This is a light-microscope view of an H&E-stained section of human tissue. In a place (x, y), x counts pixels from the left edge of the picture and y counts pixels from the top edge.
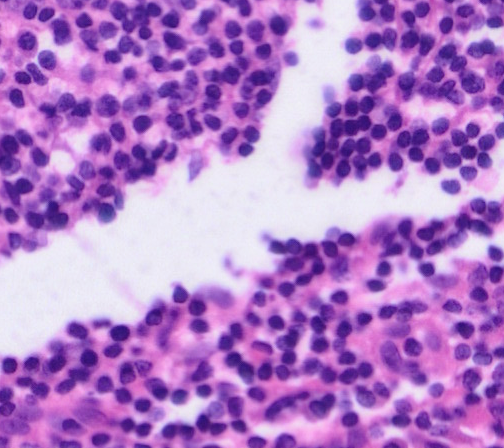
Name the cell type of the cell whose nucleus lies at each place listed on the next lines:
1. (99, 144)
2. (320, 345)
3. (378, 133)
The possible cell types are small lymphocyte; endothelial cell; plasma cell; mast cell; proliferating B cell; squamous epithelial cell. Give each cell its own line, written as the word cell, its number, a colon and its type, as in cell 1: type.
cell 1: proliferating B cell
cell 2: small lymphocyte
cell 3: small lymphocyte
